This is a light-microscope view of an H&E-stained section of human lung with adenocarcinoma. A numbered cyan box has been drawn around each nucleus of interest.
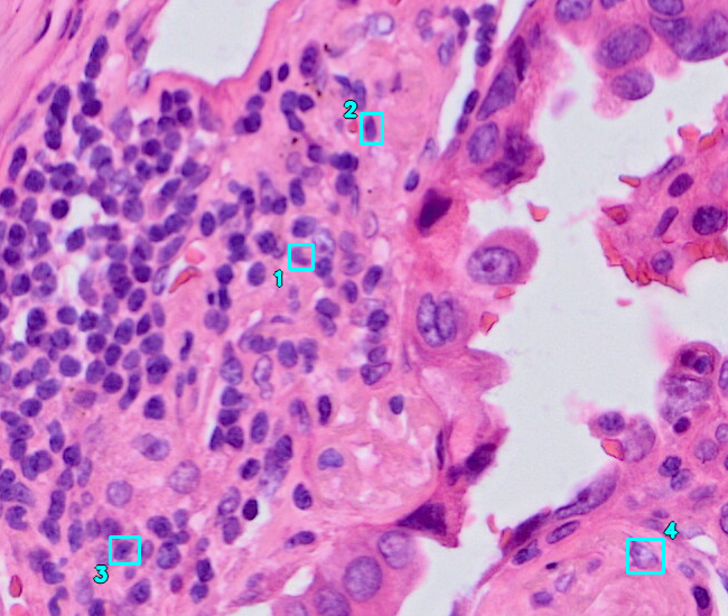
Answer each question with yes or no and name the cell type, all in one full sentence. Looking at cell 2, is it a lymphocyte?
Yes, the cell identified by number 2 is a lymphocyte.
